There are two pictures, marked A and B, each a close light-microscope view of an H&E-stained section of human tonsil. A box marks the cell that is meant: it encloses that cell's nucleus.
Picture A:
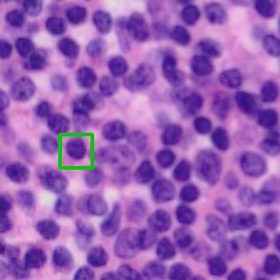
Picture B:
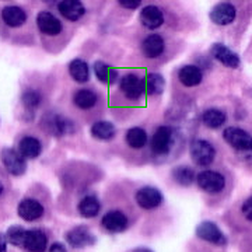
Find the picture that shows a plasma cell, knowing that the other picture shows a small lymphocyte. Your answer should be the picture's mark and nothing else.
B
